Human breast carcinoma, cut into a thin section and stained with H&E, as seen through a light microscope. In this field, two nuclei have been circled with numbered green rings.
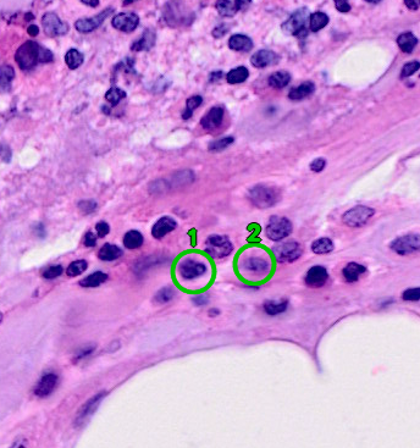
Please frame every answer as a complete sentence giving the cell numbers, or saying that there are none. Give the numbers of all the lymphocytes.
Cell 1 is a lymphocyte, and it is the only one.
